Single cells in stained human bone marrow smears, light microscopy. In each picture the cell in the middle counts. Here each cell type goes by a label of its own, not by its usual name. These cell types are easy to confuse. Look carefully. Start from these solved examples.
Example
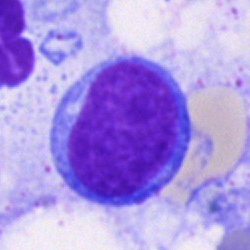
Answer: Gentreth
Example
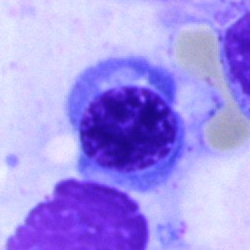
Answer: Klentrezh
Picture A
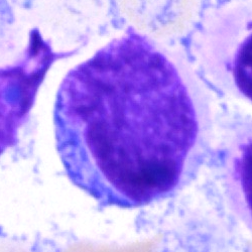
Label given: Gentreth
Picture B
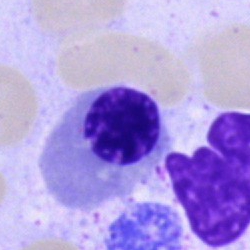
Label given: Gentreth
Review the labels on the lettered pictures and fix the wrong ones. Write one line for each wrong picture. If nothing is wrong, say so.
Wrong: B (Gentreth); correct: Klentrezh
